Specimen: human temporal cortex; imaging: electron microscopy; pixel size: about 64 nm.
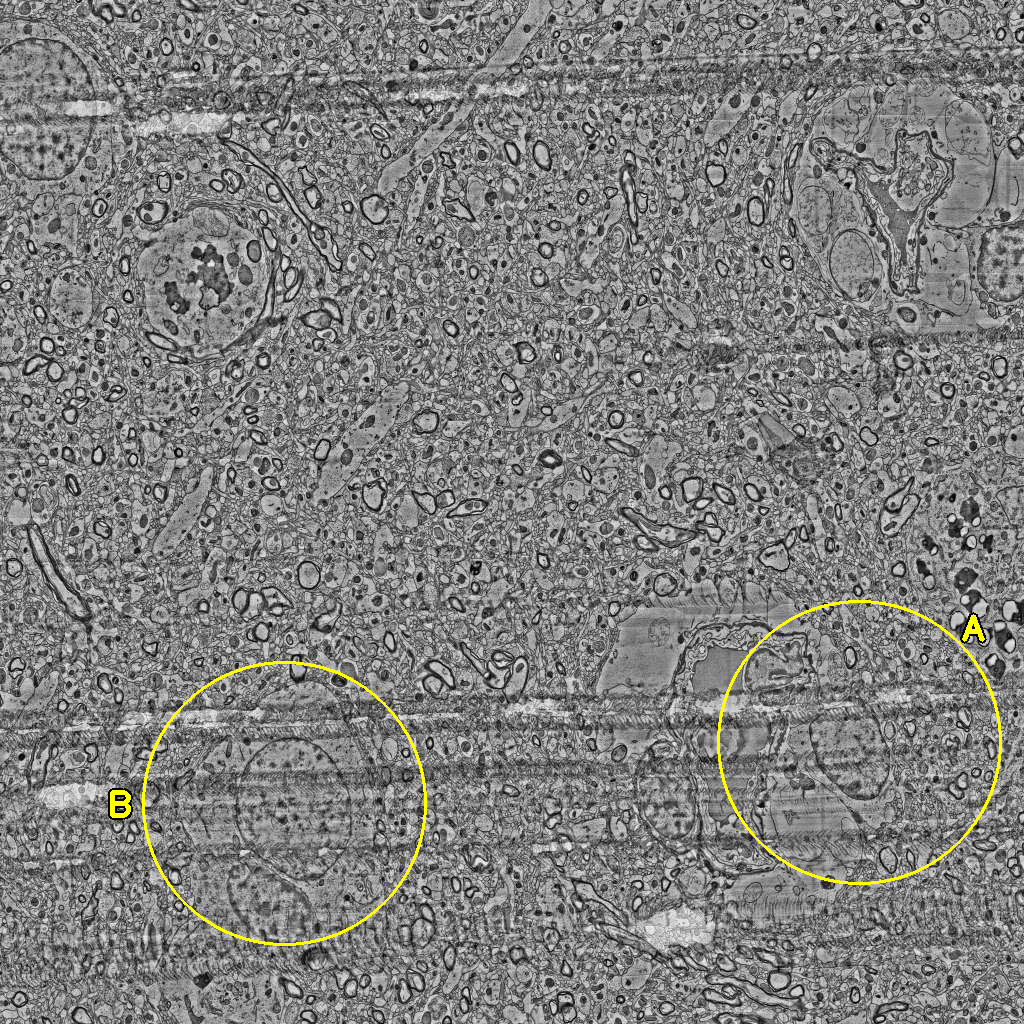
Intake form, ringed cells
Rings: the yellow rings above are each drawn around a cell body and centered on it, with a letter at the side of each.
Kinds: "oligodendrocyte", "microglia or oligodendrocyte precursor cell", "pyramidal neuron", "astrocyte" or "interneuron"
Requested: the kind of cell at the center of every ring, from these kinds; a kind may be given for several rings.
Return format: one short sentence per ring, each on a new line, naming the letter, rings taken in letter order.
In the center of ring A there is a microglial cell or oligodendrocyte precursor cell.
In the center of ring B there is a pyramidal neuron.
